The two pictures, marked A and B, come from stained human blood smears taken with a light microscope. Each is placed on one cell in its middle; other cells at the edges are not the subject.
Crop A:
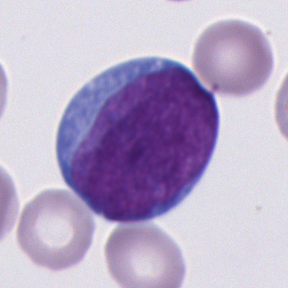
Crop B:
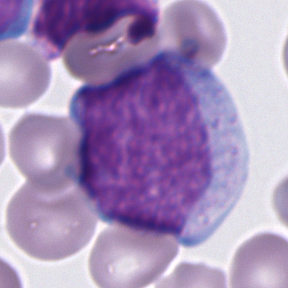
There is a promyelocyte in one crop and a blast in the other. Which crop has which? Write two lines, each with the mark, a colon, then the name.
A: blast
B: promyelocyte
